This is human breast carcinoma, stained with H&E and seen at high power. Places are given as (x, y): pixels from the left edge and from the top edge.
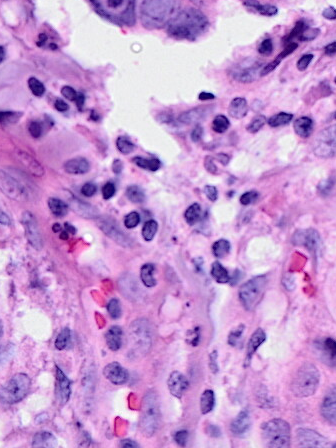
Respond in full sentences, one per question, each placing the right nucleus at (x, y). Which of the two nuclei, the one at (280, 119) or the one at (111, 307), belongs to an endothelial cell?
The nucleus at (111, 307) belongs to an endothelial cell, which distinguishes it from the other nucleus.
